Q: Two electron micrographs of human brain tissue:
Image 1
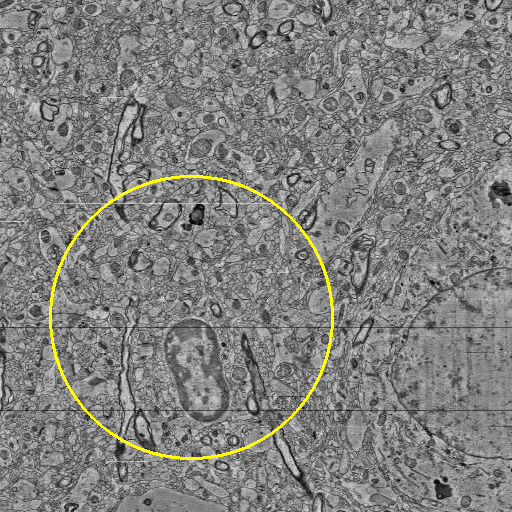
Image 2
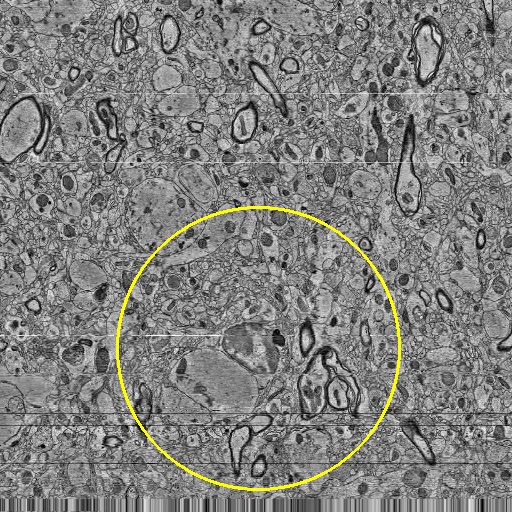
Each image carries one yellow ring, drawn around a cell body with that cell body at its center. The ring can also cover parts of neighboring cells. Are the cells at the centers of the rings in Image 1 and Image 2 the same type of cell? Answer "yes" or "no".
yes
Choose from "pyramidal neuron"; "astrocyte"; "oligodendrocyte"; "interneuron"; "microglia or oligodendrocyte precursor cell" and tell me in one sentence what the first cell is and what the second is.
In the first picture and in the second, the ring is centred on a microglial cell or oligodendrocyte precursor cell.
